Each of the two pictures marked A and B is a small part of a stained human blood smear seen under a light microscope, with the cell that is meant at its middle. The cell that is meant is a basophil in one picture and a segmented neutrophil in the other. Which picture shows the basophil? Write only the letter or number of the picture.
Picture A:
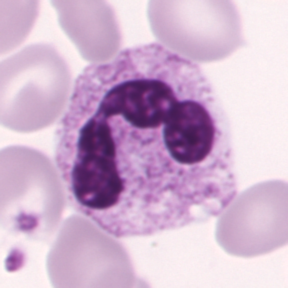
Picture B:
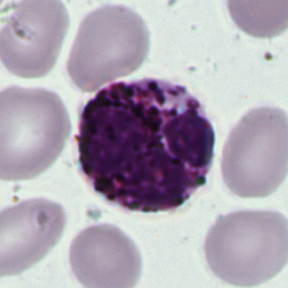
B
